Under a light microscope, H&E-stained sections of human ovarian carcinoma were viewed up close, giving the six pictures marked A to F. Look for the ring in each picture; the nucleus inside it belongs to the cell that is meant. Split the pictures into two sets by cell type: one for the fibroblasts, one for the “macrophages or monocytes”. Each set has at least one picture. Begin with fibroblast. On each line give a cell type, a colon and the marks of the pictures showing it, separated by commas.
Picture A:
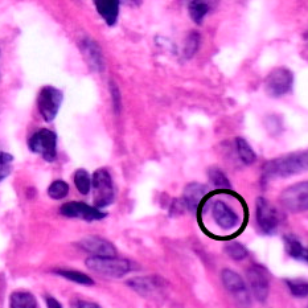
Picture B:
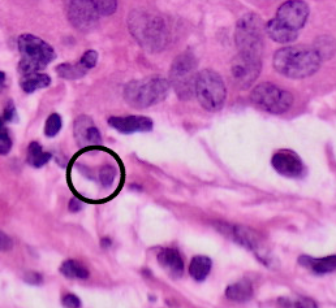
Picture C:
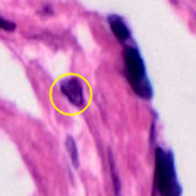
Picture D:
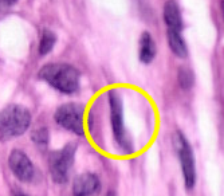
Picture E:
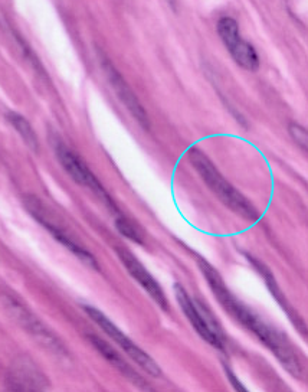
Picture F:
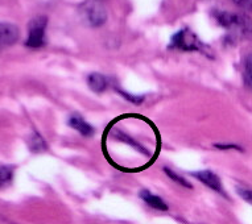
fibroblast: C, D, E, F
macrophage or monocyte: A, B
